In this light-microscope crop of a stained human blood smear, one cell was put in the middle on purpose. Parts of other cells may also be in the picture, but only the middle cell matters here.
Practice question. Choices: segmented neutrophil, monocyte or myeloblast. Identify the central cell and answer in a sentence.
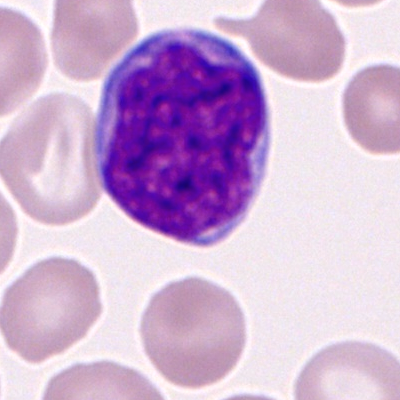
The crop's centre is taken up by a myeloblast.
